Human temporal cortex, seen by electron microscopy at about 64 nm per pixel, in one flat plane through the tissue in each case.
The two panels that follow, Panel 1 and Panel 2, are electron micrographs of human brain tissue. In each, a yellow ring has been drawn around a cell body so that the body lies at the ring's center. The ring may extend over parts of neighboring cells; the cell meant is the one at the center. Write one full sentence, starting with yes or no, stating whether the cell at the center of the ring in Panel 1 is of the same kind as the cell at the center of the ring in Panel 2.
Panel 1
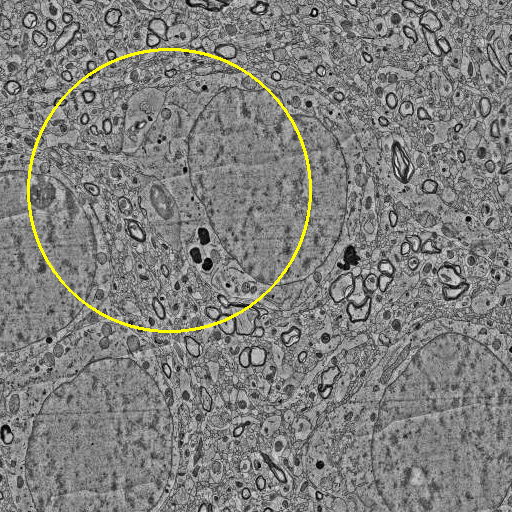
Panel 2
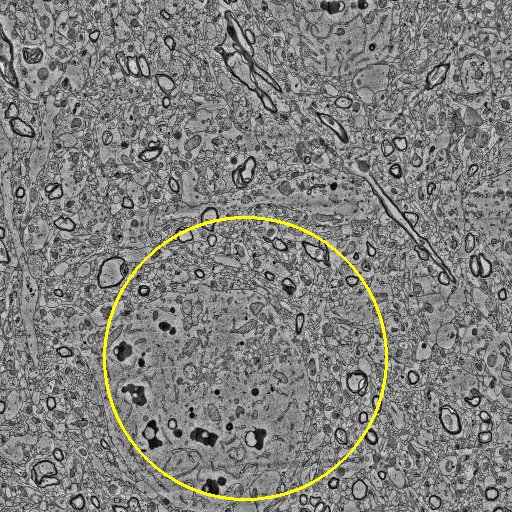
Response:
No, the cells in the two panels are of two kinds.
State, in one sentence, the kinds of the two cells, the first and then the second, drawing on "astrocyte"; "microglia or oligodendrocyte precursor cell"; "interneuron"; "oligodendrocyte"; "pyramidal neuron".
The ring in the second picture is centred on a pyramidal neuron, the ring in the first on an oligodendrocyte.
